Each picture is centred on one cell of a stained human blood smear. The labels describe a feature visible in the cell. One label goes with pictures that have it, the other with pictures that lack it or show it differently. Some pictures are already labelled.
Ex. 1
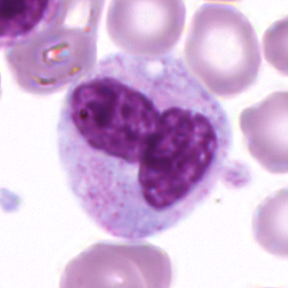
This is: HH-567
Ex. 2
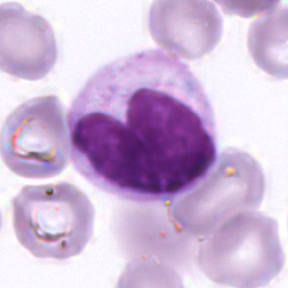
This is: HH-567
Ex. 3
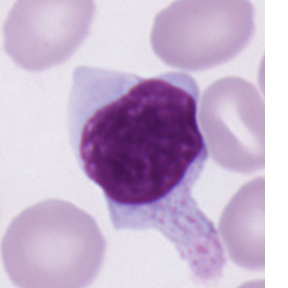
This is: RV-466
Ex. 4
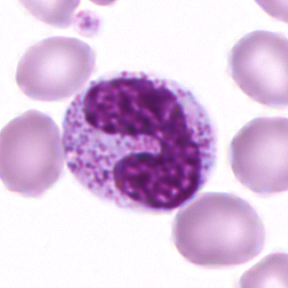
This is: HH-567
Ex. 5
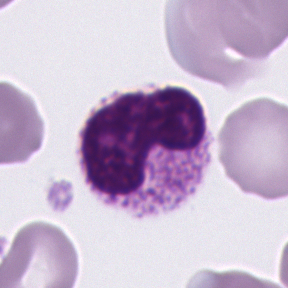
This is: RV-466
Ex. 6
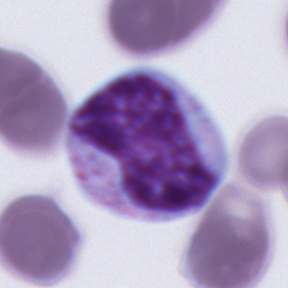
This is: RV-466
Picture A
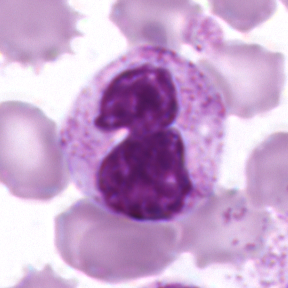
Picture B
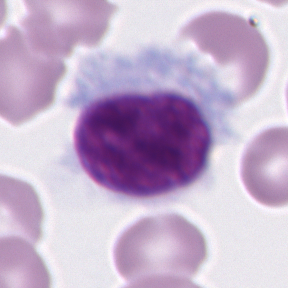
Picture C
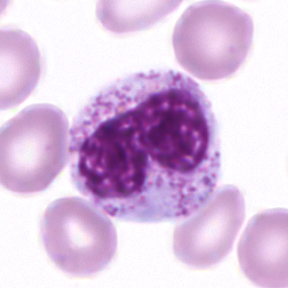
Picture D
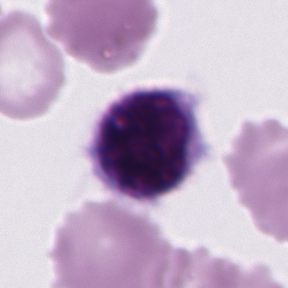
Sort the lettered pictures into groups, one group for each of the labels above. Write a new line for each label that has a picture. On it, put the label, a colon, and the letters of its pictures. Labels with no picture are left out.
HH-567: A, C
RV-466: B, D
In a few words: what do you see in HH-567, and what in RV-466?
HH-567, lobed nucleus; RV-466, single compact nucleus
